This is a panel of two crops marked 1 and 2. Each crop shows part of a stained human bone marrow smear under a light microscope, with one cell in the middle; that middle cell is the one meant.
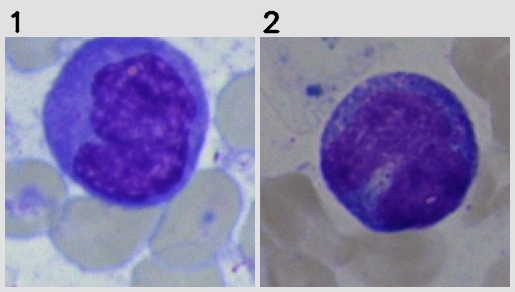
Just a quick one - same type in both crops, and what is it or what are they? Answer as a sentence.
Yes, in the middle of both crops, monocytes are shown.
